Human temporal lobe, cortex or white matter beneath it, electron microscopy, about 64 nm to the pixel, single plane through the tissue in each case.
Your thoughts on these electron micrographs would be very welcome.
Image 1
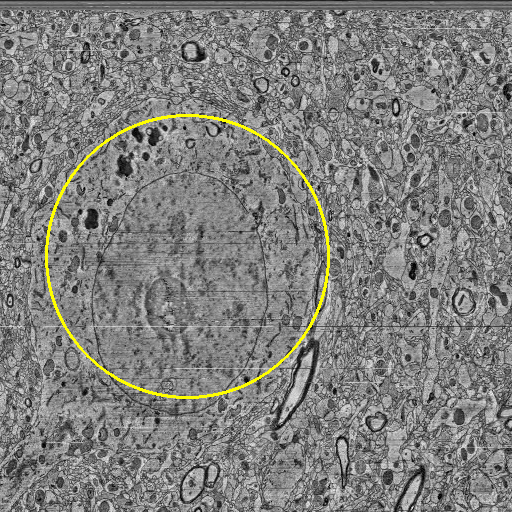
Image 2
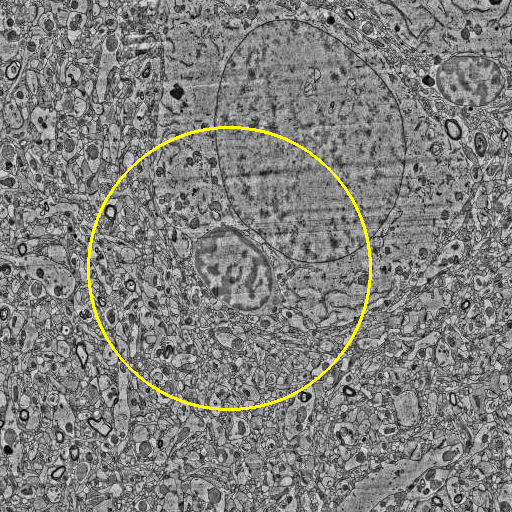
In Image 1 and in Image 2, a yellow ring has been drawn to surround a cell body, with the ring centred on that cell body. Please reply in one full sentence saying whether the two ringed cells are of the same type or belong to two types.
The ringed cells in Image 1 and Image 2 belong to two types.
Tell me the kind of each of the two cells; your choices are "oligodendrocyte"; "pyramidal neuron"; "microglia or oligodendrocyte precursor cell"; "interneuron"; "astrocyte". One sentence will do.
The ringed cell is a pyramidal neuron in the first picture and an oligodendrocyte in the second picture.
